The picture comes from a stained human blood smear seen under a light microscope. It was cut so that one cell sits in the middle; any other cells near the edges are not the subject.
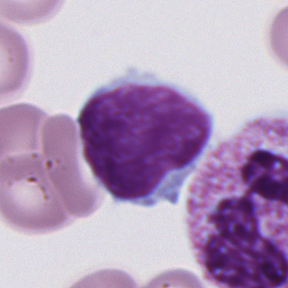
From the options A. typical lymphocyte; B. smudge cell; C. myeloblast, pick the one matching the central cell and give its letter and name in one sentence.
The cell in the middle is a typical lymphocyte, and that makes option A correct.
